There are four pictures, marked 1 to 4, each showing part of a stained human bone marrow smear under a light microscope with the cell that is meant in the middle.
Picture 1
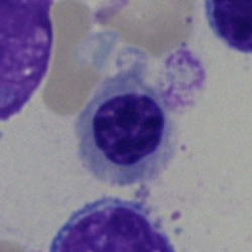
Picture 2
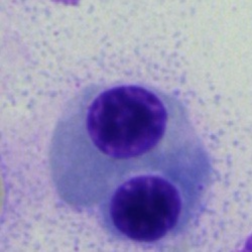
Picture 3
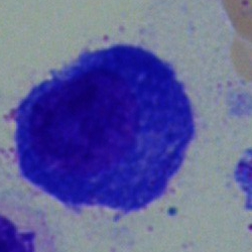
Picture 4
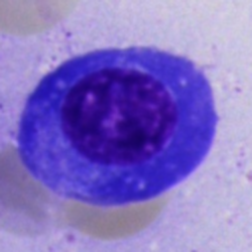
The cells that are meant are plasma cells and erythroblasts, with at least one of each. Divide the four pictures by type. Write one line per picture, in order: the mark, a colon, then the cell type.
1: erythroblast
2: erythroblast
3: plasma cell
4: plasma cell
